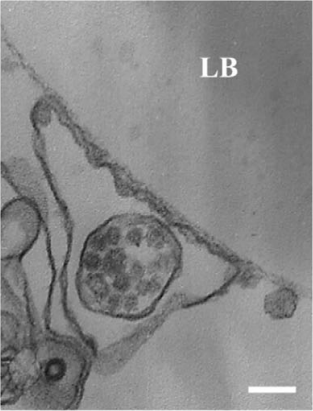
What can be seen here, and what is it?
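A large, smooth, uniformly grey bead fills the upper right of the field, and membrane-bound vesicles lie along its edge. In the middle sits a round body packed with many small internal vesicles. It lies within a triangular space bounded by thin membranes, one running along the bead surface. A small round vesicle lies on the bead edge to the lower right. At the lower left are further folded membrane profiles, including a small vesicle with a dark ring.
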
